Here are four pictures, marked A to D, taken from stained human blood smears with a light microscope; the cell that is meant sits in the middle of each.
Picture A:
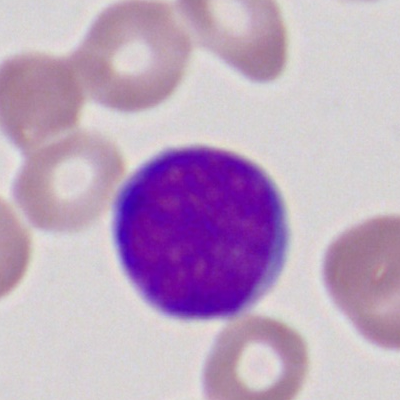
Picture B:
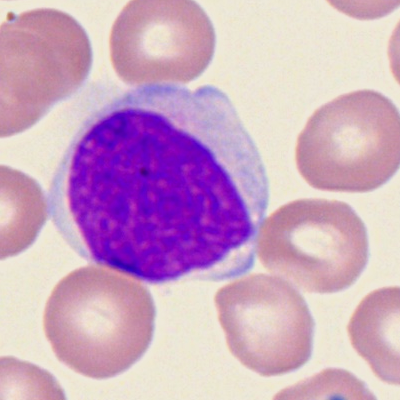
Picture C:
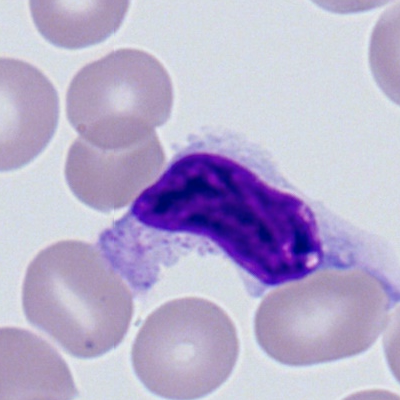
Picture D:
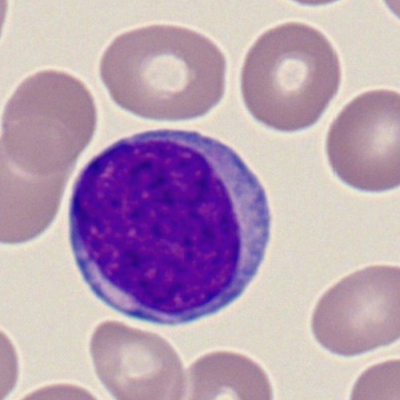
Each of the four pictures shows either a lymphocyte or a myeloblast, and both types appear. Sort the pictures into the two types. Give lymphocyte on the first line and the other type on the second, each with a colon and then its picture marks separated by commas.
lymphocyte: C
myeloblast: A, B, D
